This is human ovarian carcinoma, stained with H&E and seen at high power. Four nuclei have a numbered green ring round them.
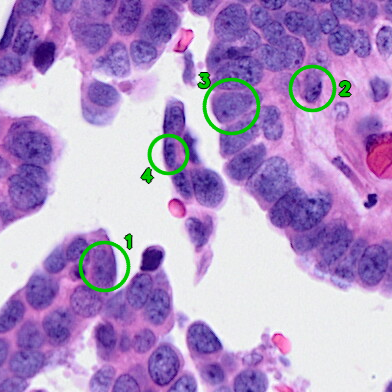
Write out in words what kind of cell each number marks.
Cell 1 is a carcinoma cell, cell 2 is a macrophage or monocyte, cell 3 is a carcinoma cell and cell 4 is a carcinoma cell.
